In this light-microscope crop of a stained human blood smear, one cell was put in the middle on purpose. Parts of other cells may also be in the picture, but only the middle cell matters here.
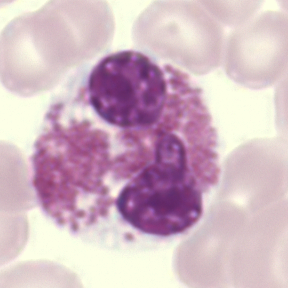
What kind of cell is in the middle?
eosinophil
